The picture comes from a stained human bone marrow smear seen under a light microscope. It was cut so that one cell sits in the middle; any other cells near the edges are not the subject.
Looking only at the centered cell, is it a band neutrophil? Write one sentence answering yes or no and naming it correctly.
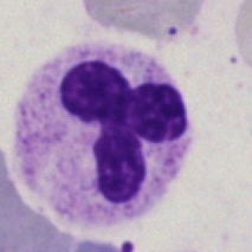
No, the cell in the middle of the crop counts as a segmented neutrophil and not as a band neutrophil.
